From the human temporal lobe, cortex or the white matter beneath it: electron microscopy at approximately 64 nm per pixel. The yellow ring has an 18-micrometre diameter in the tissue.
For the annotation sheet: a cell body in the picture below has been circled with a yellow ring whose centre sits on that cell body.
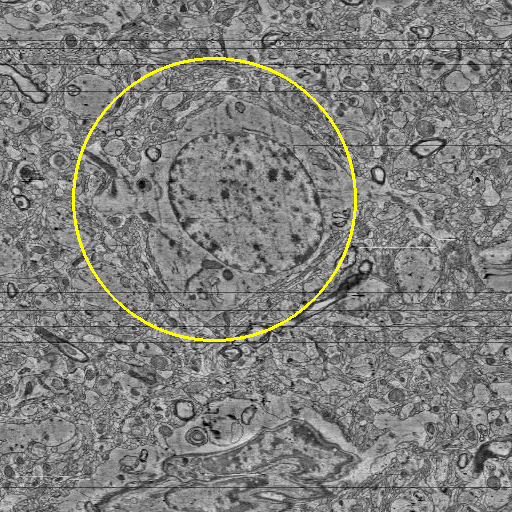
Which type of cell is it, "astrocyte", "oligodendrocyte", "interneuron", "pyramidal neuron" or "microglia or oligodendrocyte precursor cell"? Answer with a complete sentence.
The circled cell is an astrocyte.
